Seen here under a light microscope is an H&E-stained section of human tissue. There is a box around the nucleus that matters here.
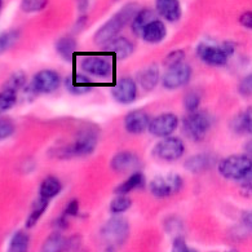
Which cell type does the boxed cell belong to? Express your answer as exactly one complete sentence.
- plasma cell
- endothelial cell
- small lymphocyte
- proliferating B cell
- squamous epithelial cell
Just put down that the boxed cell is a plasma cell.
